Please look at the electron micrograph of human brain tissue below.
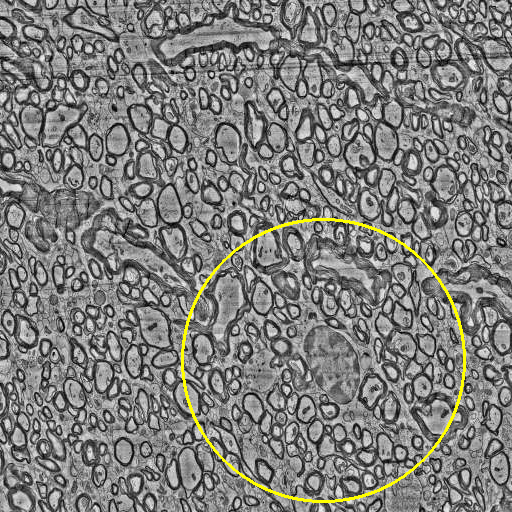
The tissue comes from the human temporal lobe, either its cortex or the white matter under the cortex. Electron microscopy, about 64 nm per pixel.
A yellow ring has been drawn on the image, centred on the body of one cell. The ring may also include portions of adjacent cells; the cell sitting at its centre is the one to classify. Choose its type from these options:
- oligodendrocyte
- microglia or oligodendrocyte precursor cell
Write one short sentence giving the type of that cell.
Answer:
The cell in the middle of the ring is a microglial cell or oligodendrocyte precursor cell.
